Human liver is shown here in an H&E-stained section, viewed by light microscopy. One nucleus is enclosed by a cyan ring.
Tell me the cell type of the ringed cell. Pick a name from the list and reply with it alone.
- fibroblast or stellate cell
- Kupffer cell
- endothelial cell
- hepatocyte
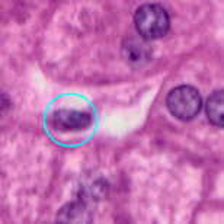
Kupffer cell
